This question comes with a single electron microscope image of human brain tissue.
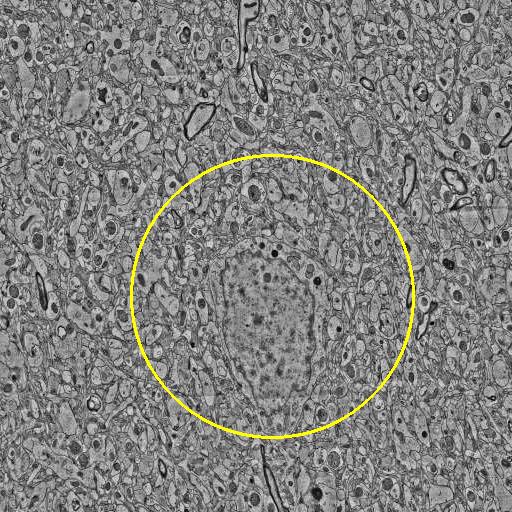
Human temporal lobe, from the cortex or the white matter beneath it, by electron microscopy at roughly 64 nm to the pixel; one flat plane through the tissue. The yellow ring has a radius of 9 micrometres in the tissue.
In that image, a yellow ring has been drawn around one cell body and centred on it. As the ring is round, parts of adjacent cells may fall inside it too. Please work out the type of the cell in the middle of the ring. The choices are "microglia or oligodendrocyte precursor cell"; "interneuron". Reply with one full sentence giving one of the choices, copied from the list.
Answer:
Of the choices, an interneuron is the cell sitting in the middle of the ring.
